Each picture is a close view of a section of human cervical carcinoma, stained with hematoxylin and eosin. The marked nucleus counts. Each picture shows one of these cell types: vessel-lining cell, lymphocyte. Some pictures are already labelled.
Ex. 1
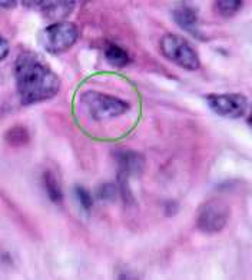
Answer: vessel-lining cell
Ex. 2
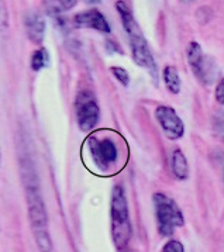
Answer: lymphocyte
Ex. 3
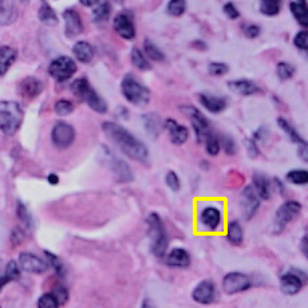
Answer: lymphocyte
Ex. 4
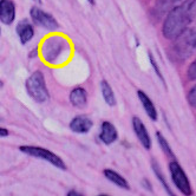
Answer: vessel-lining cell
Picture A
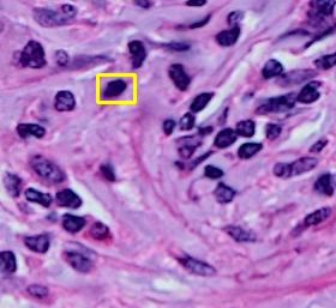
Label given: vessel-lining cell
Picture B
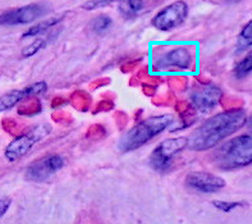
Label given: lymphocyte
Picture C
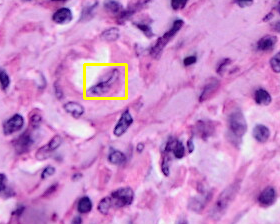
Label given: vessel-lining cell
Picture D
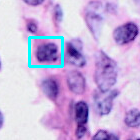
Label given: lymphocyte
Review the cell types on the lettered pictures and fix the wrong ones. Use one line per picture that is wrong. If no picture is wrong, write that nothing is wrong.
A is labelled vessel-lining cell; correct label: lymphocyte
B is labelled lymphocyte; correct label: vessel-lining cell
